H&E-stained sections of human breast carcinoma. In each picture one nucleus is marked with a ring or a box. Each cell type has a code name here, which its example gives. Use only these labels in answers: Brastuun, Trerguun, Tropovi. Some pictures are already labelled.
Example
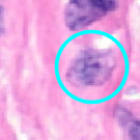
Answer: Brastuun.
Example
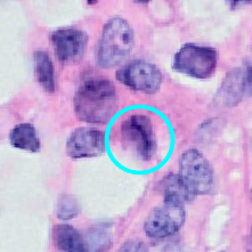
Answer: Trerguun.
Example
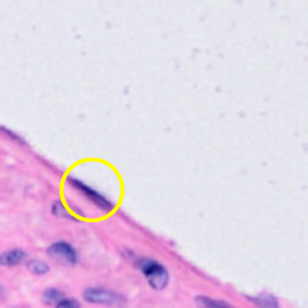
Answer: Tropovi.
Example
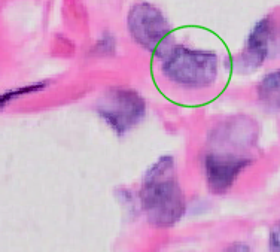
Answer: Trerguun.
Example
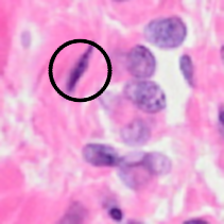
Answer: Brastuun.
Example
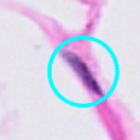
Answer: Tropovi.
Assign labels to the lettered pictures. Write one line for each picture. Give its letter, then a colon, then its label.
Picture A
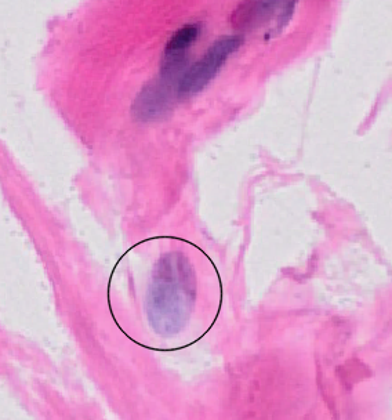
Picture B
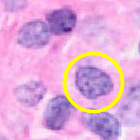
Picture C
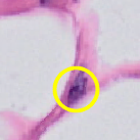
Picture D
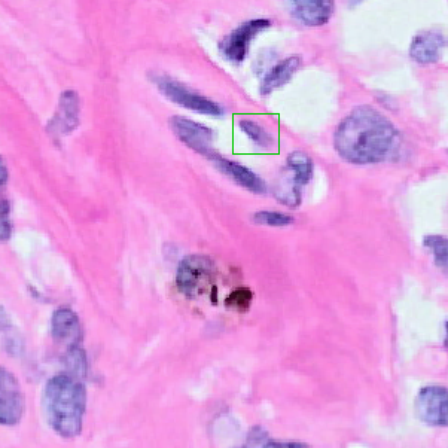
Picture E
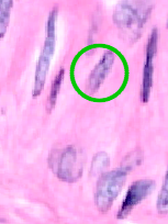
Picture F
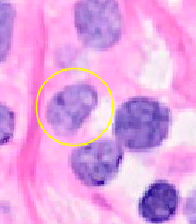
A: Brastuun.
B: Trerguun.
C: Tropovi.
D: Tropovi.
E: Tropovi.
F: Trerguun.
